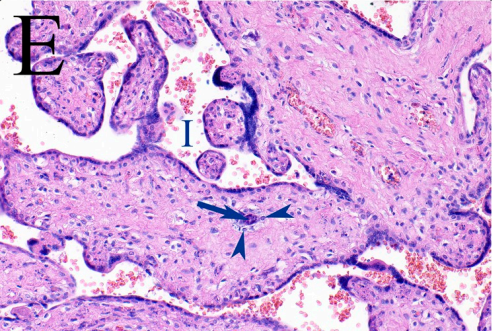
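These are chorionic villi cut in section, with pink stroma full of spindle-shaped stromal cells and a few small vessels containing red blood cells. Each villus is covered by a thin surface layer of trophoblast with dark, closely set nuclei. Between the villi lies the intervillous space, holding scattered free red blood cells. The stroma otherwise looks fairly dense and fibrous.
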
